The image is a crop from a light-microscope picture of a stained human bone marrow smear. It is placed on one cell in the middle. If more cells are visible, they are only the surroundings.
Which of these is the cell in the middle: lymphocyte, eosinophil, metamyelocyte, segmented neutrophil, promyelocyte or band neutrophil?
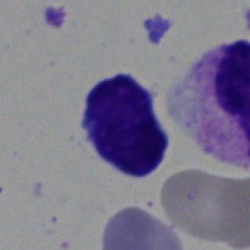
lymphocyte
